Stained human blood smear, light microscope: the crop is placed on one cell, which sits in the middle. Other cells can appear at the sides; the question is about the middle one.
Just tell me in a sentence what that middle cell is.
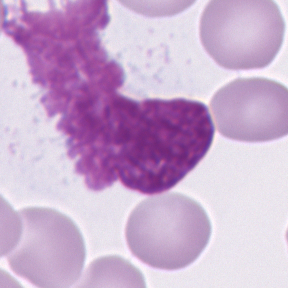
Among the cells in view, the one in the middle is a smudge cell.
